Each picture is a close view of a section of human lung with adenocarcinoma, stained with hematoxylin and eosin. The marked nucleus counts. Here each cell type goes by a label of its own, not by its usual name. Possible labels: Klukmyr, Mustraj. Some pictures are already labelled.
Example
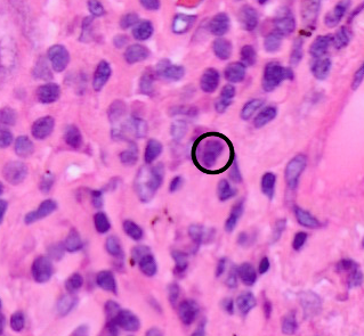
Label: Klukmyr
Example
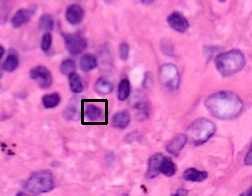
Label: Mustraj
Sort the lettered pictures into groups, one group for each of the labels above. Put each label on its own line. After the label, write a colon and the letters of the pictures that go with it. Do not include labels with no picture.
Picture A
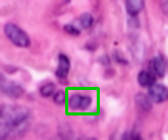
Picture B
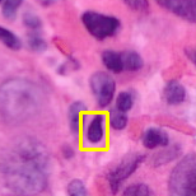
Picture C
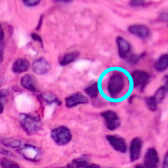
Klukmyr: C
Mustraj: A, B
